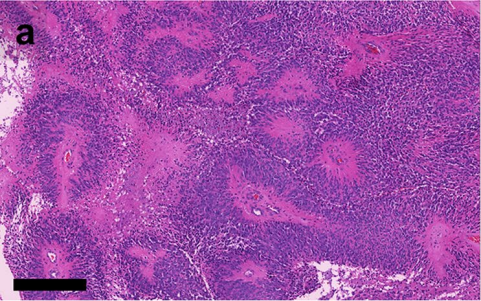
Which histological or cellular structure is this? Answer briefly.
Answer: perivascular pseudorosettes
